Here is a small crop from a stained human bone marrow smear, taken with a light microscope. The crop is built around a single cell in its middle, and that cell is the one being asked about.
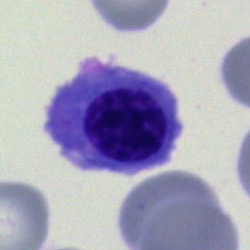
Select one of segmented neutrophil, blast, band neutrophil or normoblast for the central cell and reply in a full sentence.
Answering briefly, the cell in the middle is a normoblast.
